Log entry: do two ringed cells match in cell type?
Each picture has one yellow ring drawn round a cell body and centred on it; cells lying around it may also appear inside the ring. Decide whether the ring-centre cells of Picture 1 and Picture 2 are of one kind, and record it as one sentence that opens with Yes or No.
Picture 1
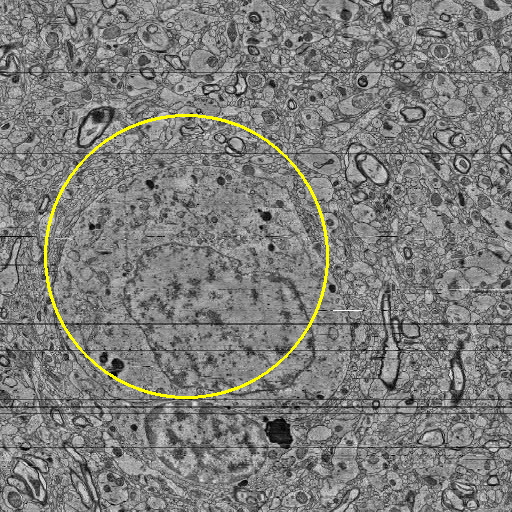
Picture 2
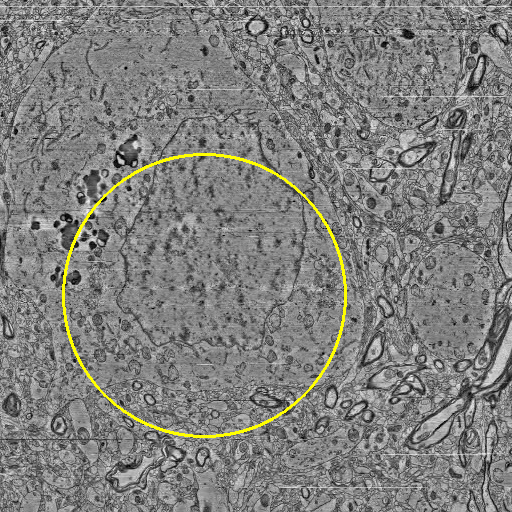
Yes, the cells at the ring centres of the two pictures belong to one kind.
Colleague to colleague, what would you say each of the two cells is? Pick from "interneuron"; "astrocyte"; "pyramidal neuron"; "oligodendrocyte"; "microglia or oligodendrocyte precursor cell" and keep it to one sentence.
Each of the ringed cells, first and second, is a pyramidal neuron.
